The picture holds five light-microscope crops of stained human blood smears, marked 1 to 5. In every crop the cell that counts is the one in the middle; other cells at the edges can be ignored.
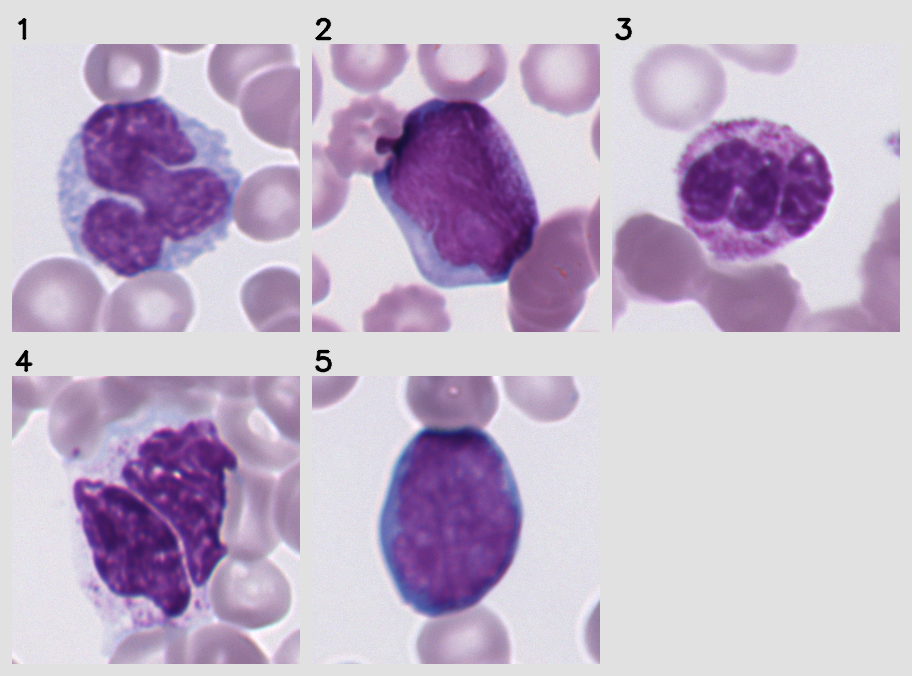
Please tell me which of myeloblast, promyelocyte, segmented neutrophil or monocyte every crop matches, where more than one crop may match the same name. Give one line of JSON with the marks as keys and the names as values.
{"1": "monocyte", "2": "myeloblast", "3": "segmented neutrophil", "4": "segmented neutrophil", "5": "myeloblast"}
